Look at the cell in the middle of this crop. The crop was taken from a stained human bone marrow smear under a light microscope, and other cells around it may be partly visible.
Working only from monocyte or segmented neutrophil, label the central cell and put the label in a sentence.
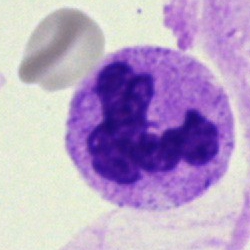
The center cell of this crop is a segmented neutrophil.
